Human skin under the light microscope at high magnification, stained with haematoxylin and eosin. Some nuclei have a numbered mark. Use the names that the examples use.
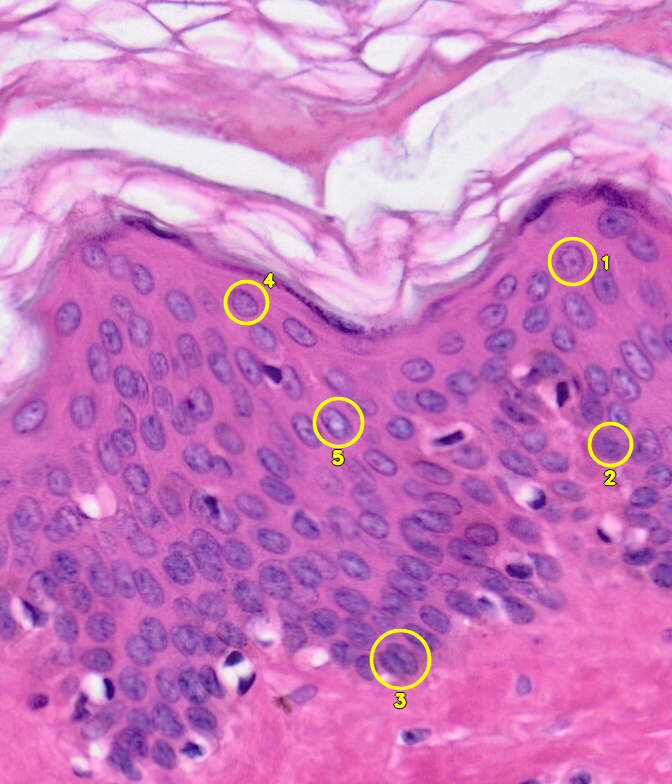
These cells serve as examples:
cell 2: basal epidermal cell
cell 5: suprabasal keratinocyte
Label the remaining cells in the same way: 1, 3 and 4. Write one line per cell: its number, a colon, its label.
1: suprabasal keratinocyte
3: basal epidermal cell
4: suprabasal keratinocyte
